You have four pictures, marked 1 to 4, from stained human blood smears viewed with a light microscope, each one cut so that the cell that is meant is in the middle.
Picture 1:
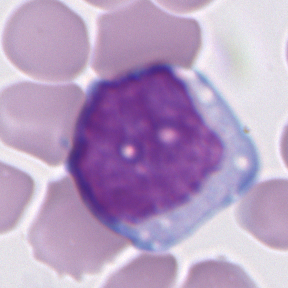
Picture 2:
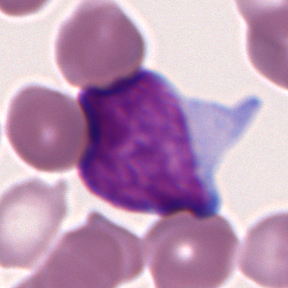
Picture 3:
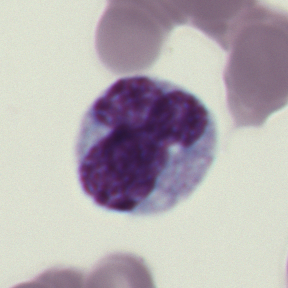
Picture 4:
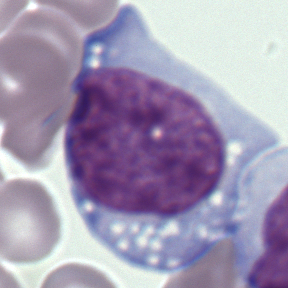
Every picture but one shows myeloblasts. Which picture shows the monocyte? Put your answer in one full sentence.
Picture 3 is the one that shows the monocyte.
